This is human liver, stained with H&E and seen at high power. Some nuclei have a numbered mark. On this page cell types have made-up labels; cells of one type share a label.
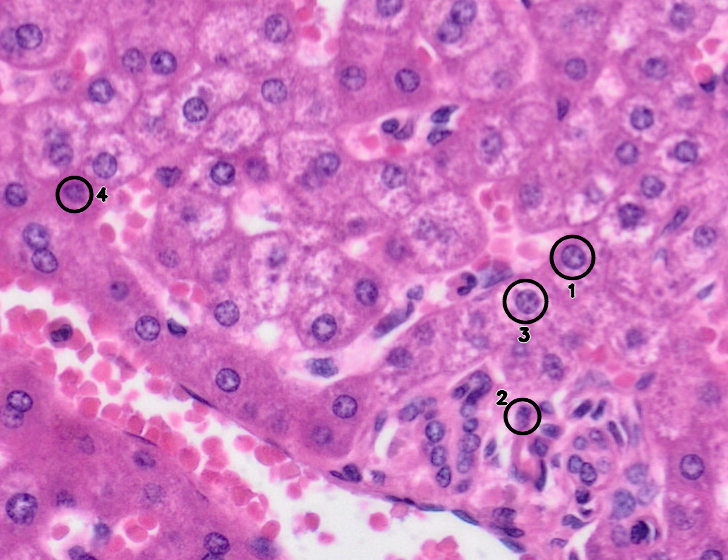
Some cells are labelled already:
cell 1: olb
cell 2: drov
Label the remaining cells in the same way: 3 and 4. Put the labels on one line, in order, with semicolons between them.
olb; olb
